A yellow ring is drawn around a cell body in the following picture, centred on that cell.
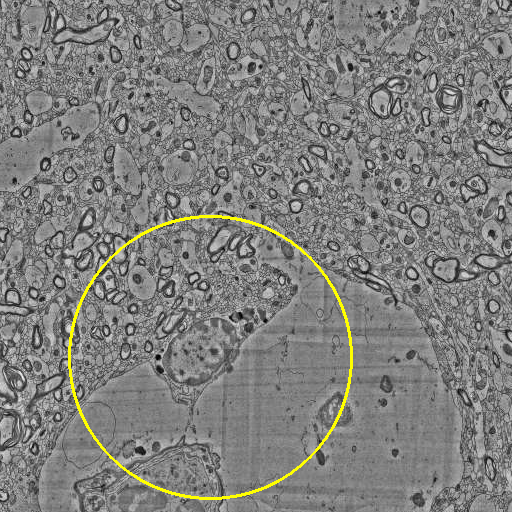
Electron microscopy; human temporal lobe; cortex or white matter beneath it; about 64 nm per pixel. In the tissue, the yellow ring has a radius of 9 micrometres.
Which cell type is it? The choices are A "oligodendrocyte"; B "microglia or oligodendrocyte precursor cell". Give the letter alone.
B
